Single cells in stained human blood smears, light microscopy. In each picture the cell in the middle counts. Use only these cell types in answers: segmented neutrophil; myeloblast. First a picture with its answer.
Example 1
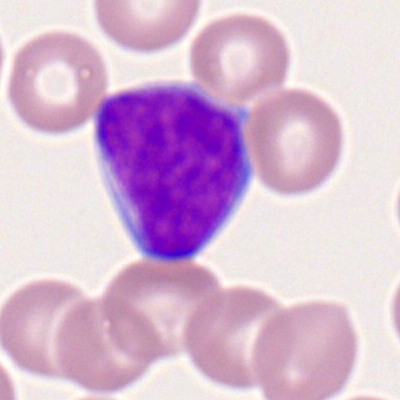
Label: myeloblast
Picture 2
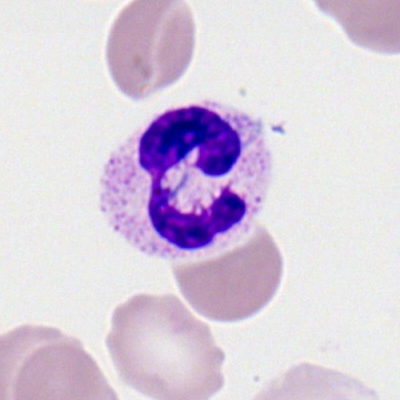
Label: segmented neutrophil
